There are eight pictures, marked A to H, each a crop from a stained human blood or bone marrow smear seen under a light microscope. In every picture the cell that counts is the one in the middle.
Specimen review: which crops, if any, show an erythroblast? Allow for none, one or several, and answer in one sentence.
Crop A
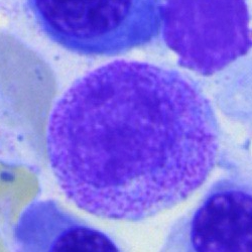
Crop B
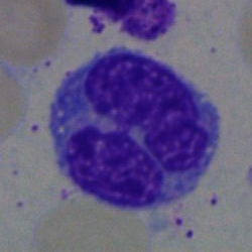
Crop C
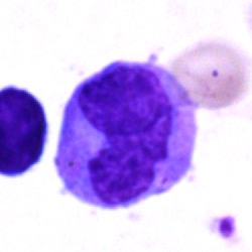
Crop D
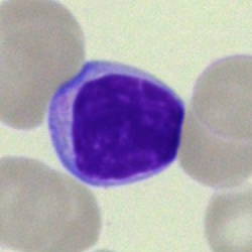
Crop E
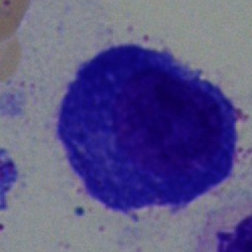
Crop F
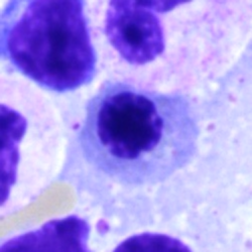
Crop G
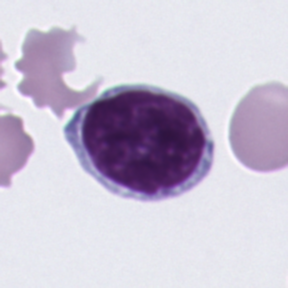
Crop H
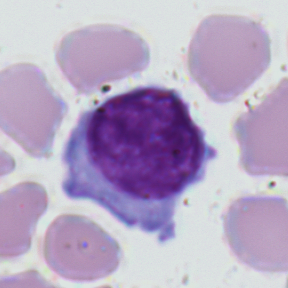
None of the crops show an erythroblast apart from crop F.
